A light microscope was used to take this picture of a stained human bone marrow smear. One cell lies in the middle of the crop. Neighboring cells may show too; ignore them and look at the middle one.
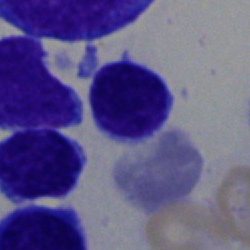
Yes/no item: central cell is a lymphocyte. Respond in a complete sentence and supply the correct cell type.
Yes, the cell in the middle is a lymphocyte.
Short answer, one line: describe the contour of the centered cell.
The membrane contour is even and smooth, with nothing projecting from it.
